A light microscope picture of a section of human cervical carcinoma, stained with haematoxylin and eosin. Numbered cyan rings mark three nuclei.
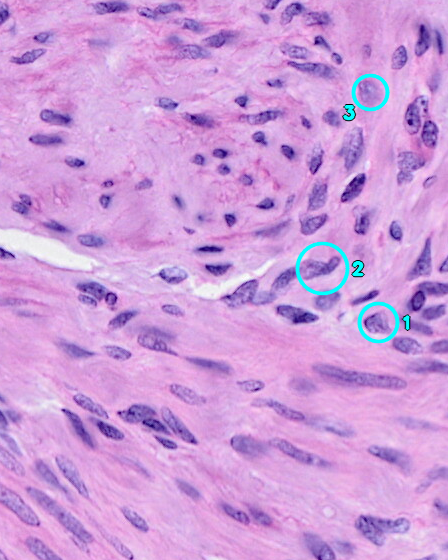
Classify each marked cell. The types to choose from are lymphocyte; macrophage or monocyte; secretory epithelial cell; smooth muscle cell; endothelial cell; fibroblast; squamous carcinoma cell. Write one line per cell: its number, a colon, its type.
1: fibroblast
2: fibroblast
3: smooth muscle cell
